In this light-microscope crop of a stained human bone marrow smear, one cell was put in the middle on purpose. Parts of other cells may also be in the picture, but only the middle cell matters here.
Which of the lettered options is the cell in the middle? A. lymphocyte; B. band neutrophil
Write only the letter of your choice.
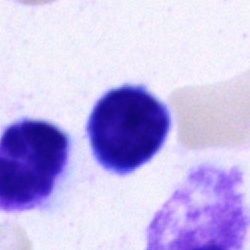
A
